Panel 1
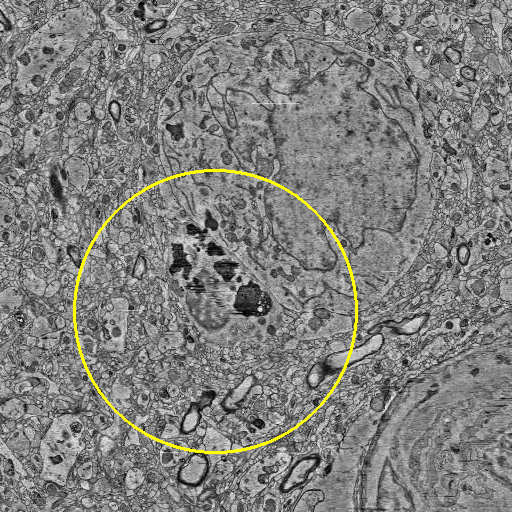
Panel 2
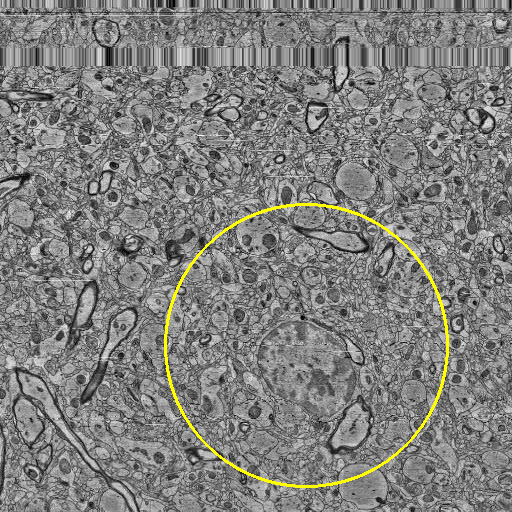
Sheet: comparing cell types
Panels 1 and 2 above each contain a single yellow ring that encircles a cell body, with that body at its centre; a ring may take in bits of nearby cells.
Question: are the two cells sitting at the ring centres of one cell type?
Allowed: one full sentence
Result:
Yes, the ring-centre cells in Panel 1 and Panel 2 are of one type.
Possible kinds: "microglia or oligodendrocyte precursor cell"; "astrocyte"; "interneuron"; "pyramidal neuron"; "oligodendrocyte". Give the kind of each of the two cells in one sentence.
Both rings mark an oligodendrocyte, one in each picture.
